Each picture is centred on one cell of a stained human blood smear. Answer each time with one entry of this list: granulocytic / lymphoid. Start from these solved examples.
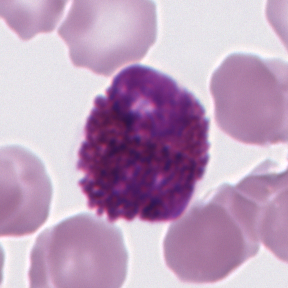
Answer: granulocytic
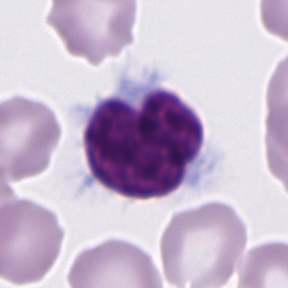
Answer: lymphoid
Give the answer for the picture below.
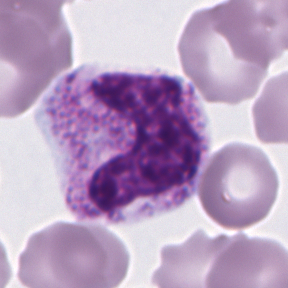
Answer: granulocytic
